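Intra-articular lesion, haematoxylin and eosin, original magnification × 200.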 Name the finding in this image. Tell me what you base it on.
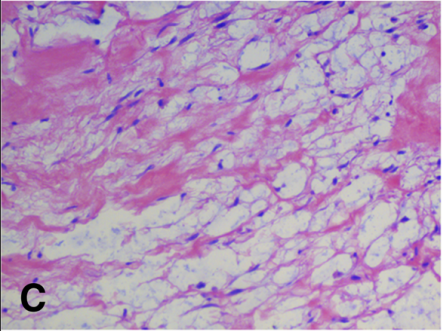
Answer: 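Focally myxoid with microcyst formation. Pale, loose stroma with many small clear spaces. Thin strands of stroma form a net around the spaces. Dense pink collagen bands cross the field.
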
